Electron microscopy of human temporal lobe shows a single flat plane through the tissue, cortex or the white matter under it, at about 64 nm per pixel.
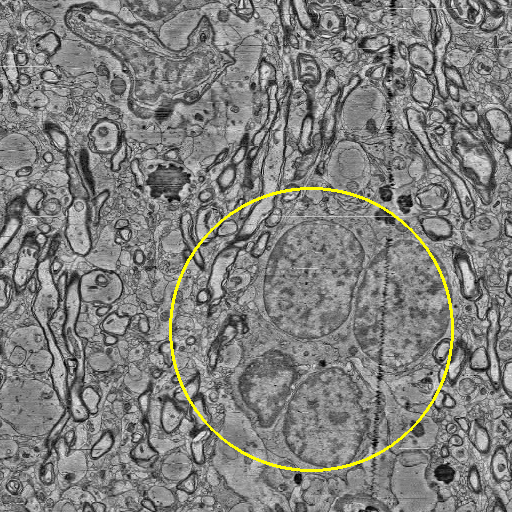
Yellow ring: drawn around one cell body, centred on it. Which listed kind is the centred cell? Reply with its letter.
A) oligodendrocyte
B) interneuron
A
